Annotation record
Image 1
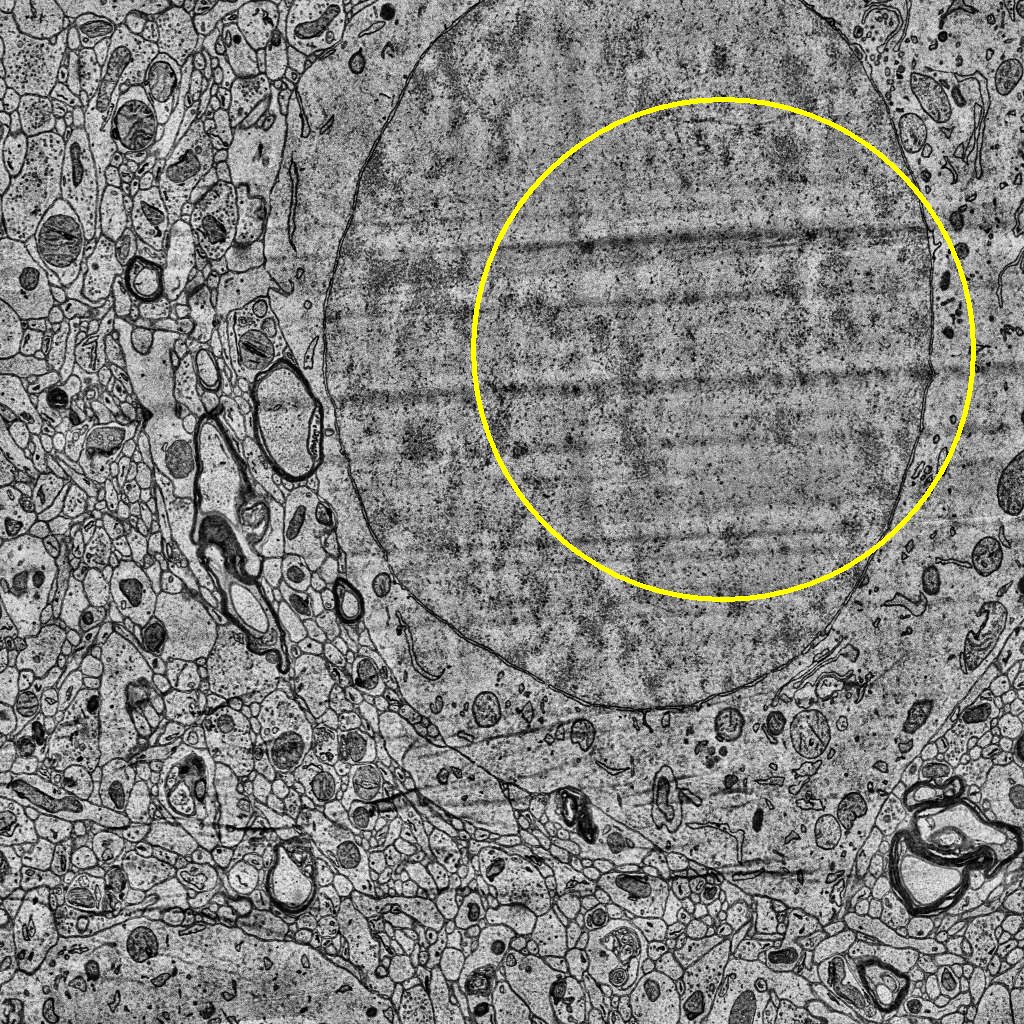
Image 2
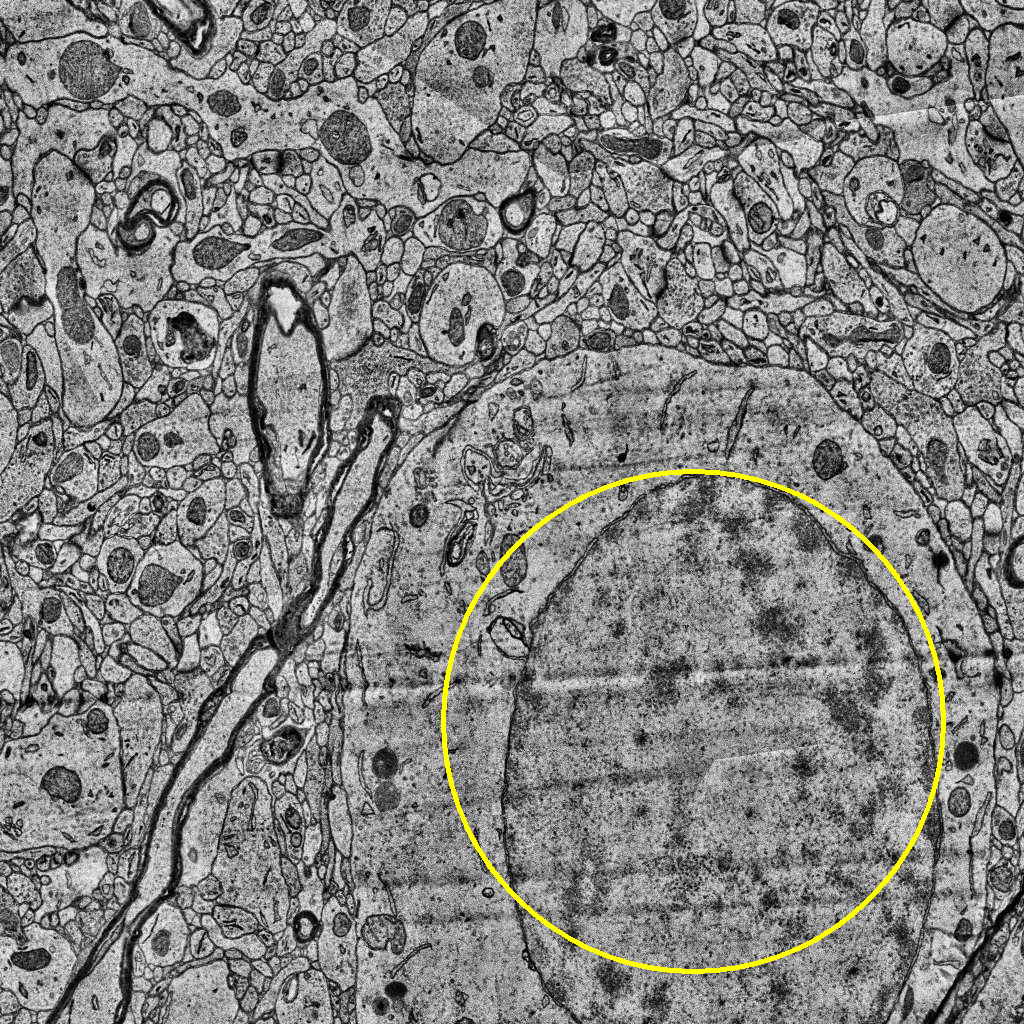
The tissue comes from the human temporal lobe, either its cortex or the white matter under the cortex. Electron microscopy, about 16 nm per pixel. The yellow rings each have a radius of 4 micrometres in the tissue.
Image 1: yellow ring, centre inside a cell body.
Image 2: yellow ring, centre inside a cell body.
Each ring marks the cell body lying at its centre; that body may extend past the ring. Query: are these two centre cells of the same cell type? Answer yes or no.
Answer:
yes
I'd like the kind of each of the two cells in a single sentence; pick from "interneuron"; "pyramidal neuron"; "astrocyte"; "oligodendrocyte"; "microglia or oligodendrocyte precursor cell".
The cell in the first picture is a pyramidal neuron, and so is the one in the second.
